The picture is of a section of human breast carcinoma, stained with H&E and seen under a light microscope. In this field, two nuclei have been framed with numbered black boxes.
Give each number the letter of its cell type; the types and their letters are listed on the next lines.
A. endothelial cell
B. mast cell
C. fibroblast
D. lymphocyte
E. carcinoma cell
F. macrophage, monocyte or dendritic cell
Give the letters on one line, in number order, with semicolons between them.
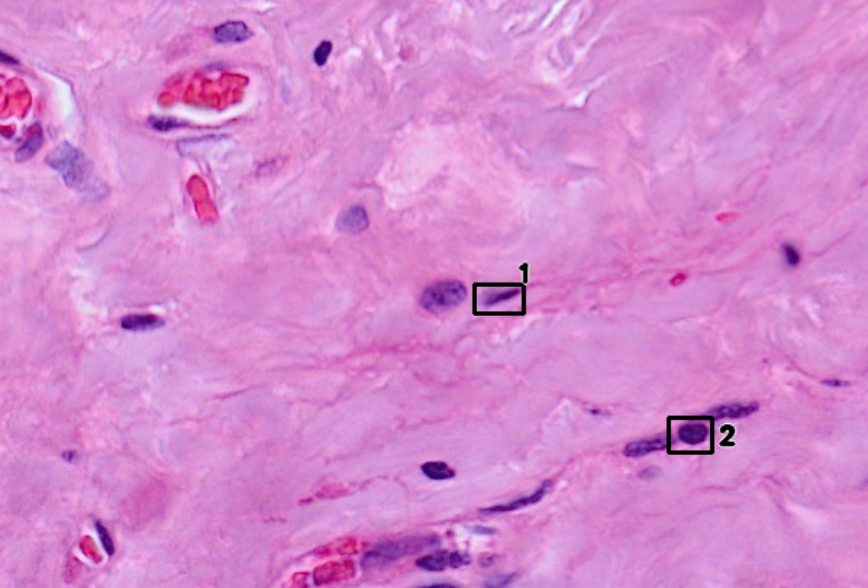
C; D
